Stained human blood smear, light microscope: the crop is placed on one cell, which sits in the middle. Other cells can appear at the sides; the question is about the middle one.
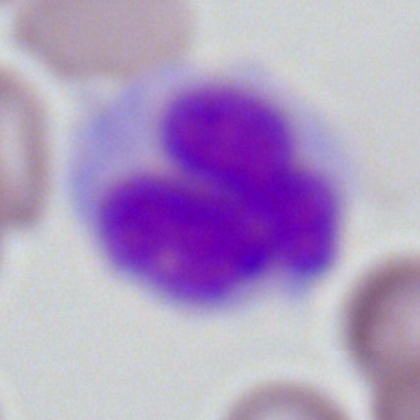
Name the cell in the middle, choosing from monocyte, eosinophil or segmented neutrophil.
monocyte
